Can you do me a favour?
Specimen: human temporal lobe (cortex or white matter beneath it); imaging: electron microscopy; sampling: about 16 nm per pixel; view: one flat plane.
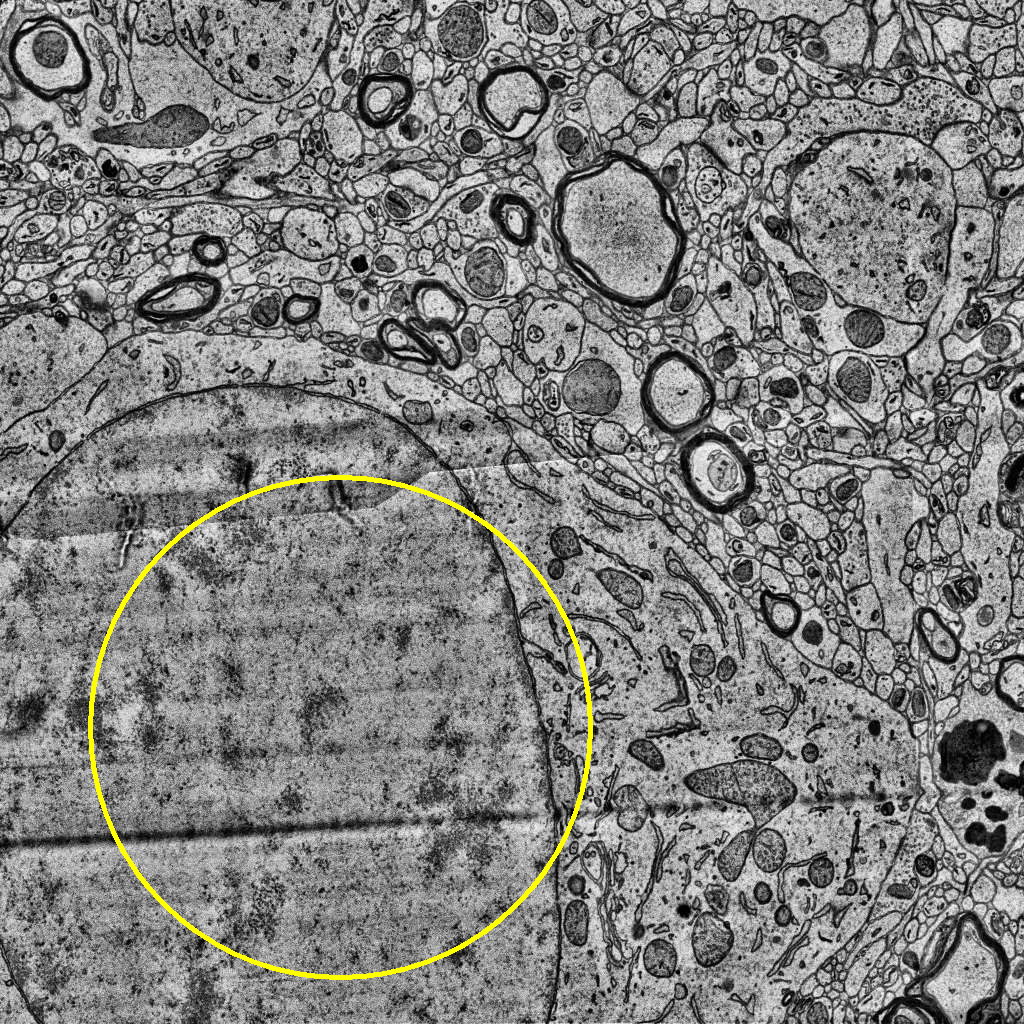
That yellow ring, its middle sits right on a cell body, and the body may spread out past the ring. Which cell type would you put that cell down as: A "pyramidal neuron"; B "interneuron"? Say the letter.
A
